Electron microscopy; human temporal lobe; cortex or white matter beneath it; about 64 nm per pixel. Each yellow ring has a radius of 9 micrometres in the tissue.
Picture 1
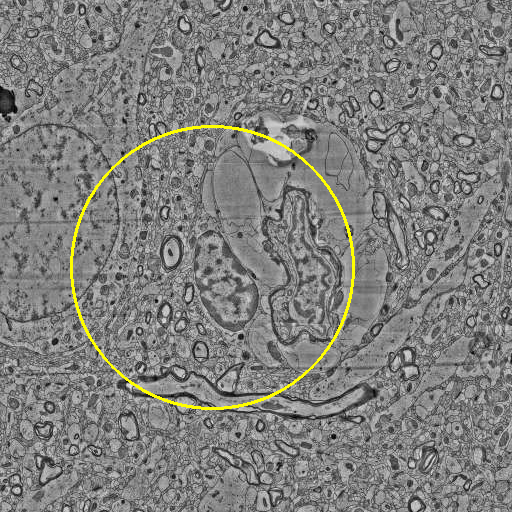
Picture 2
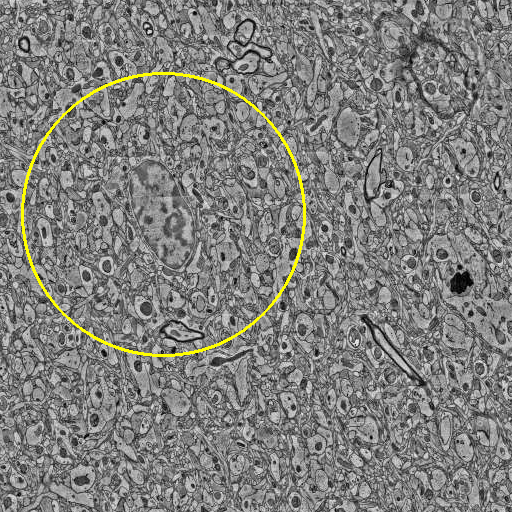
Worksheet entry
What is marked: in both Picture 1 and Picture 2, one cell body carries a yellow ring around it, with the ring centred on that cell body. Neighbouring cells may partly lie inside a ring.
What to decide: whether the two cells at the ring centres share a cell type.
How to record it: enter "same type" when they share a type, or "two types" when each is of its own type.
same type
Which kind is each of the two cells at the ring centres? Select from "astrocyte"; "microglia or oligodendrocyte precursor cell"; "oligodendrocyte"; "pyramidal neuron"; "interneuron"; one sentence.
Each of the two rings is centred on a microglial cell or oligodendrocyte precursor cell.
